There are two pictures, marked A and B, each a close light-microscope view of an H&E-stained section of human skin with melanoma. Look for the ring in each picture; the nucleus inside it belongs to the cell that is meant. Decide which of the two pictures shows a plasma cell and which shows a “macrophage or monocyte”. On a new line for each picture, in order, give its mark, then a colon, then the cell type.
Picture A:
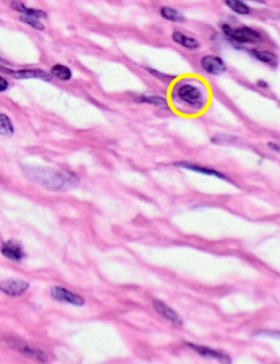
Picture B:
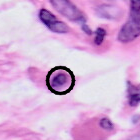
A: plasma cell
B: macrophage or monocyte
